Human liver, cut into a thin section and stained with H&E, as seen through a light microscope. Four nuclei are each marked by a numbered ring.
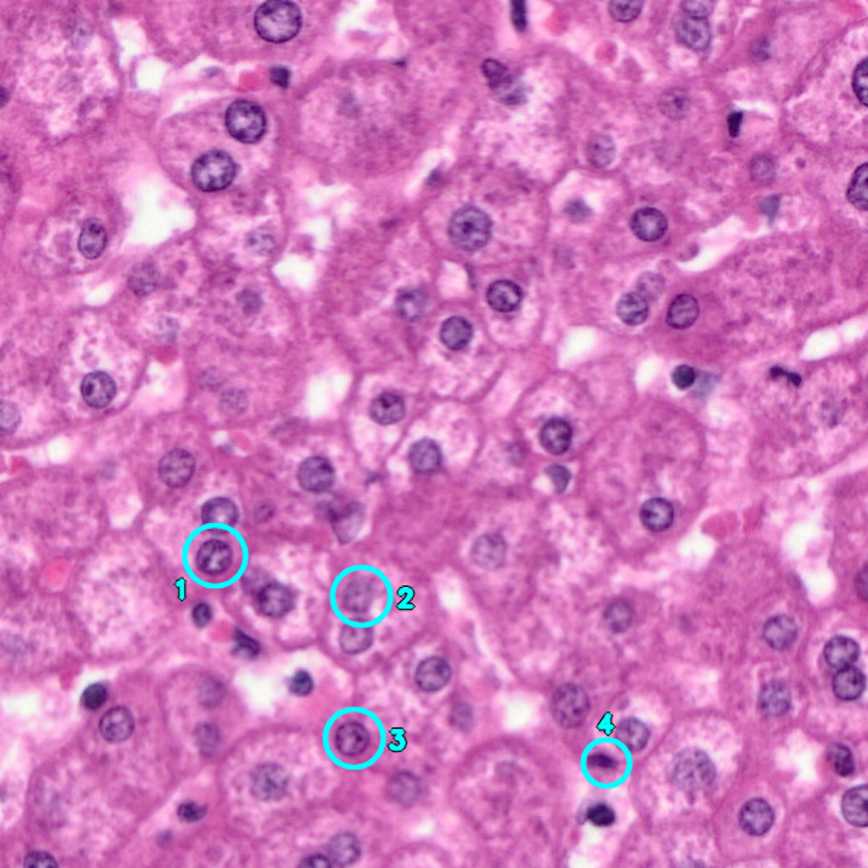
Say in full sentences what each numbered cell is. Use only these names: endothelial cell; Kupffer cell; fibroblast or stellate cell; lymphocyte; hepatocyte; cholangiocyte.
Cells 1, 2 and 3 are hepatocytes. Cell 4 is a fibroblast or stellate cell.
